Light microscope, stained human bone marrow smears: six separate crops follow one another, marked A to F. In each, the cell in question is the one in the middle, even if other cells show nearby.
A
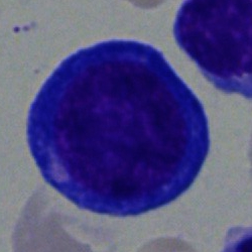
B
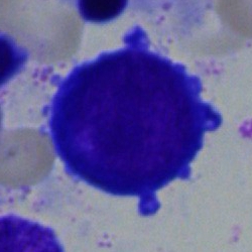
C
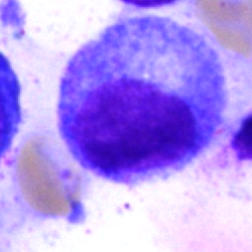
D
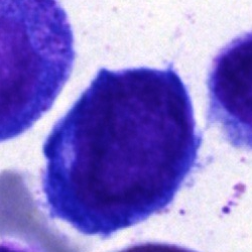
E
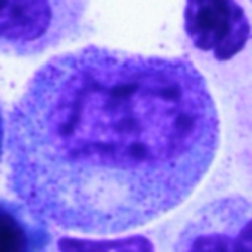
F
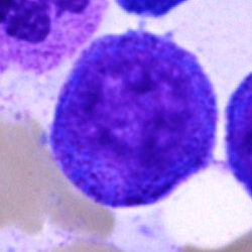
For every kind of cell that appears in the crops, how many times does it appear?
proerythroblast: 3
promyelocyte: 3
